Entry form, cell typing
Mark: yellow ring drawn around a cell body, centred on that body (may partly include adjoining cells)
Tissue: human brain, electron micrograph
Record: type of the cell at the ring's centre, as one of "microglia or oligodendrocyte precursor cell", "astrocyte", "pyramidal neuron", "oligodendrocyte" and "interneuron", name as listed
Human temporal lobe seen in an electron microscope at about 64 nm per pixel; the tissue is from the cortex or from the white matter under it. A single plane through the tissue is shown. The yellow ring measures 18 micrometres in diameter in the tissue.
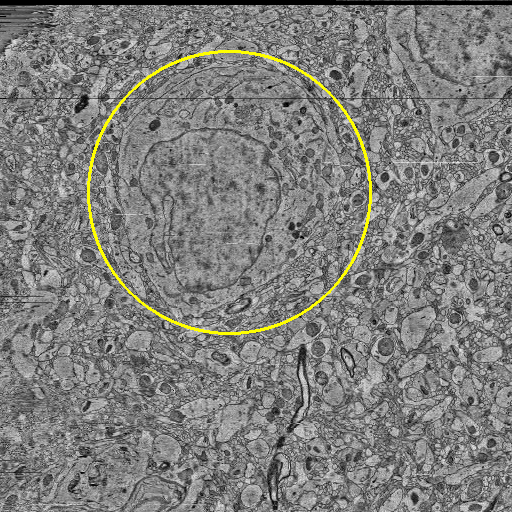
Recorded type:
interneuron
